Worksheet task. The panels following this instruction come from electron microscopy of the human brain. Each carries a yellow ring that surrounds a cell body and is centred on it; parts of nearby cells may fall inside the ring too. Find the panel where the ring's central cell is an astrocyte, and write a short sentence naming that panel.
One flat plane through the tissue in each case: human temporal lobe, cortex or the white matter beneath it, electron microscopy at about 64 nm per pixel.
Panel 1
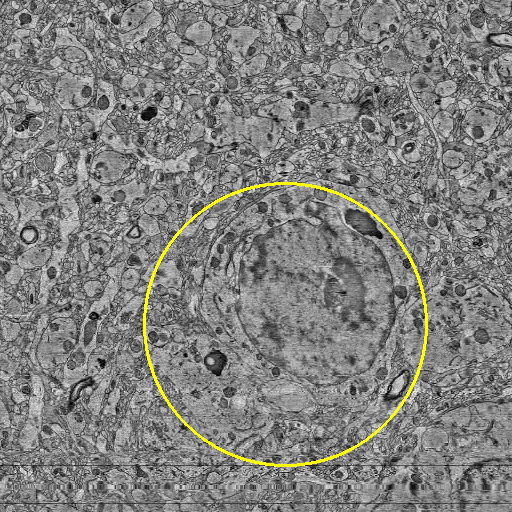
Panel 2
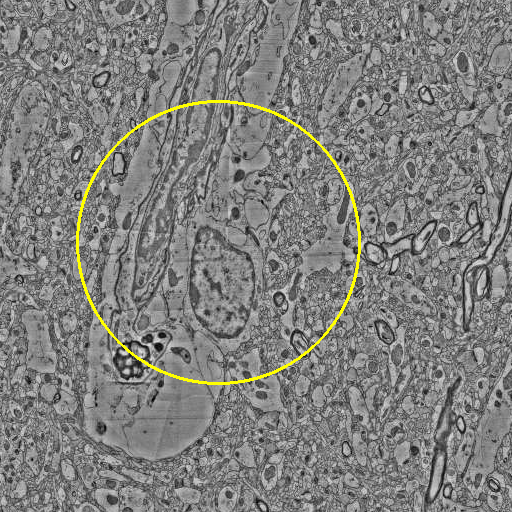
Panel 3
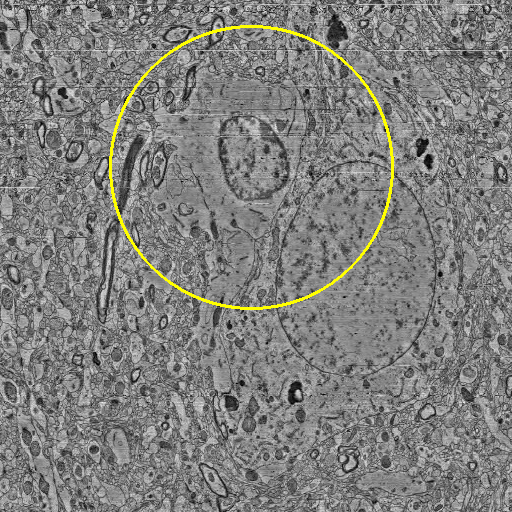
The cell sought is in Panel 3.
